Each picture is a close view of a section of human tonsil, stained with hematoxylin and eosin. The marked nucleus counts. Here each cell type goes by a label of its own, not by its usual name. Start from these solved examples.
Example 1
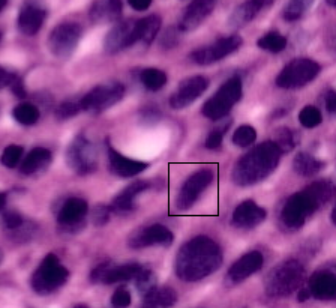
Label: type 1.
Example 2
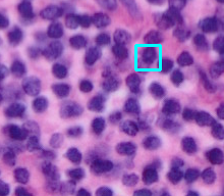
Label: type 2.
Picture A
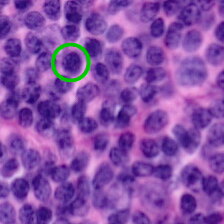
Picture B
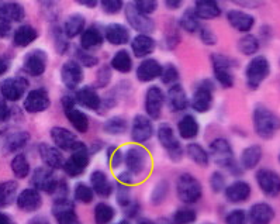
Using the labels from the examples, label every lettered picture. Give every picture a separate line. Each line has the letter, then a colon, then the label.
A: type 2.
B: type 2.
